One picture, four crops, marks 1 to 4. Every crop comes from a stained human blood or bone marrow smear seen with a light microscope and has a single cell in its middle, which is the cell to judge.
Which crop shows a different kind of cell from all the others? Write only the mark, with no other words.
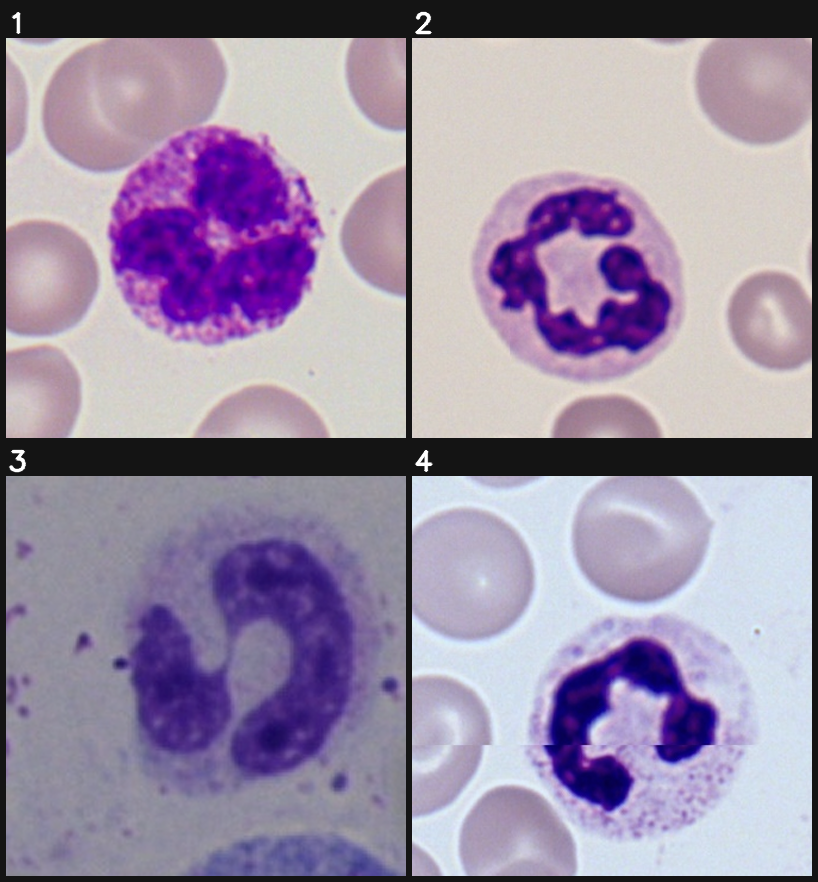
1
